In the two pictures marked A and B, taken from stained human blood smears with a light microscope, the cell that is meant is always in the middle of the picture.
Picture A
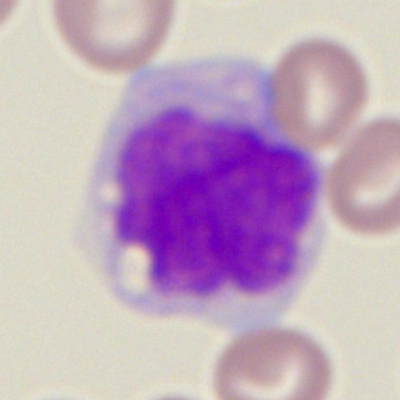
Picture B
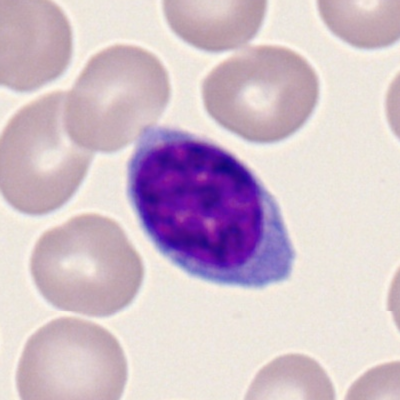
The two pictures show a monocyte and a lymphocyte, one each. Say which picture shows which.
A: monocyte
B: lymphocyte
